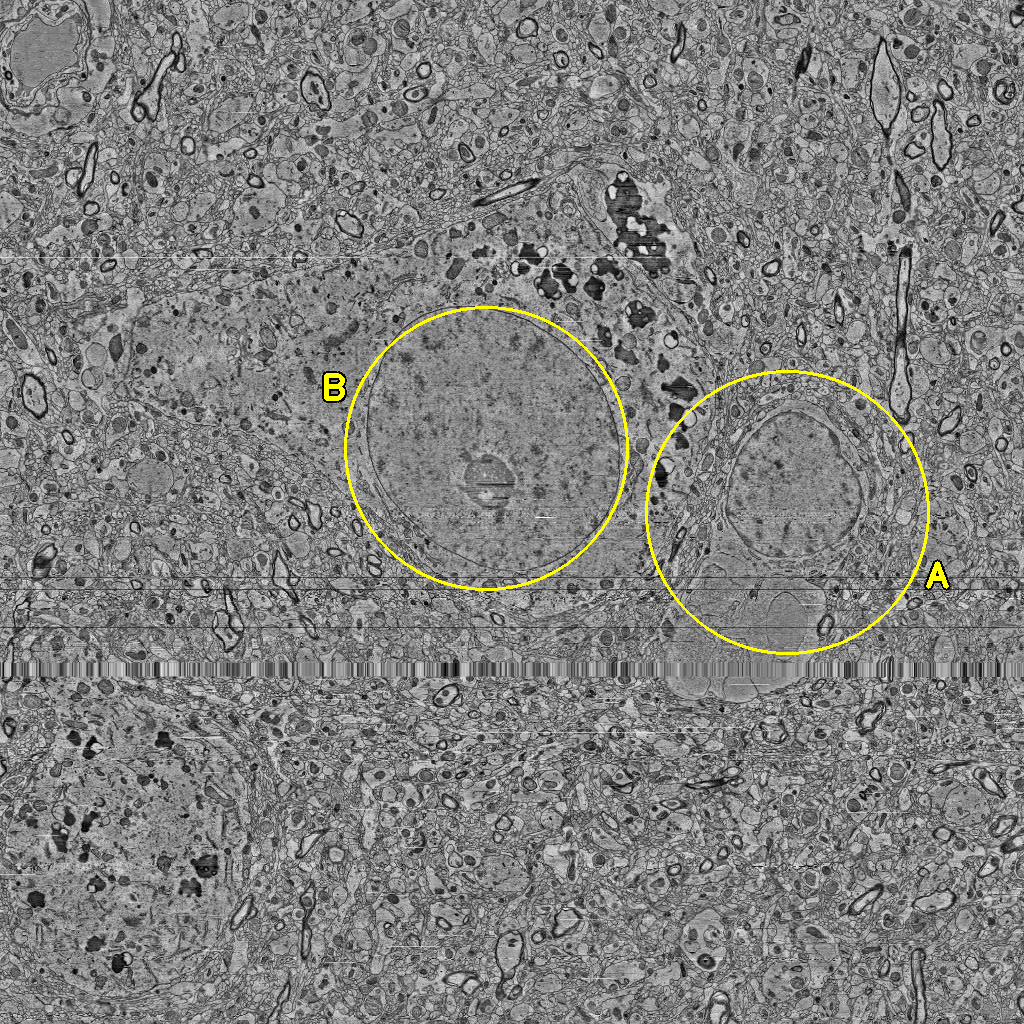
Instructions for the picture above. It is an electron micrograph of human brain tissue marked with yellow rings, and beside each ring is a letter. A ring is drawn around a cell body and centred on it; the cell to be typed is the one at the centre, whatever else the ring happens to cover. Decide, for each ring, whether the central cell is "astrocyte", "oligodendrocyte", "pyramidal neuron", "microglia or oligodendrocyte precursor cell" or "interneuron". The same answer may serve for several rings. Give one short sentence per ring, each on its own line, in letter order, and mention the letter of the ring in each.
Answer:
Ring A is drawn around a microglial cell or oligodendrocyte precursor cell.
Ring B is drawn around a pyramidal neuron.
